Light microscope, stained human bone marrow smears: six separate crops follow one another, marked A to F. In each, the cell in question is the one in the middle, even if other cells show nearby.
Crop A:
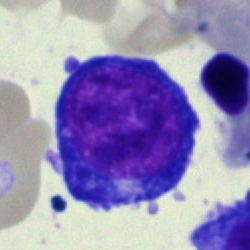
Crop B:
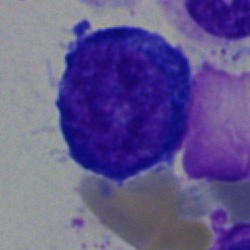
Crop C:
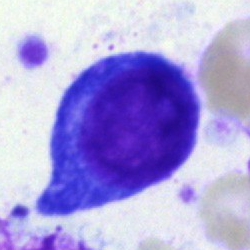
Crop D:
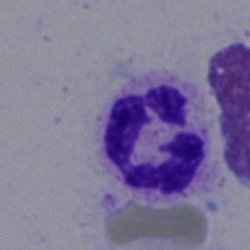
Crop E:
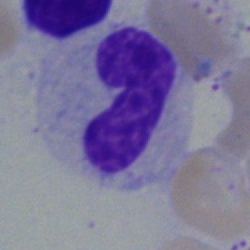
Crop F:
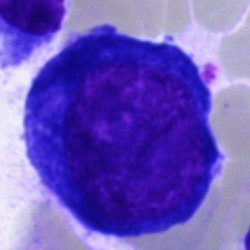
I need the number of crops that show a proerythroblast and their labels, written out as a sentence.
The crops depicting proerythroblasts, four in total, are A, B, C and F.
